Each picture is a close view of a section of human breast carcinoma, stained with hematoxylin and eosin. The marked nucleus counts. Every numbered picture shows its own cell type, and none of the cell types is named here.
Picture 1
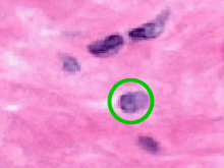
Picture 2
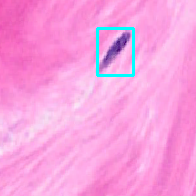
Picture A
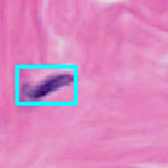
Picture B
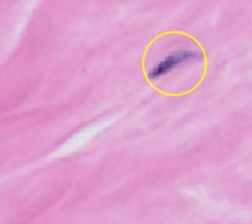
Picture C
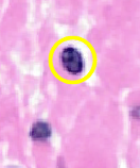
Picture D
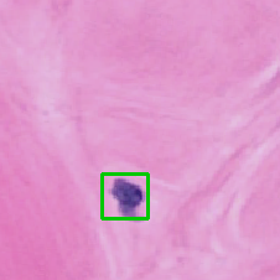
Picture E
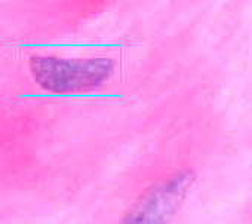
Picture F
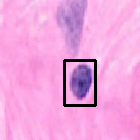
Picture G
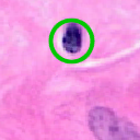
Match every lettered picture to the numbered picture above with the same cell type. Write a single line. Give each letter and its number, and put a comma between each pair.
A 2, B 2, C 1, D 1, E 2, F 1, G 1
